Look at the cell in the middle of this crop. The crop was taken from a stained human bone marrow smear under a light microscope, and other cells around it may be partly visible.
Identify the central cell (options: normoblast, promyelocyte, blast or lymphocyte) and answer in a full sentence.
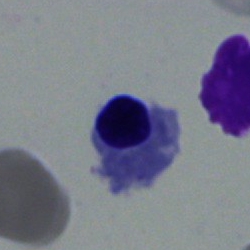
As for the cell in the middle, it is a normoblast.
